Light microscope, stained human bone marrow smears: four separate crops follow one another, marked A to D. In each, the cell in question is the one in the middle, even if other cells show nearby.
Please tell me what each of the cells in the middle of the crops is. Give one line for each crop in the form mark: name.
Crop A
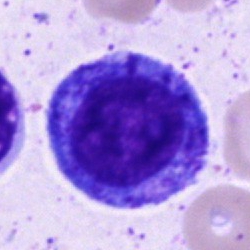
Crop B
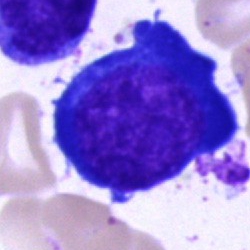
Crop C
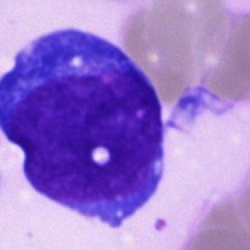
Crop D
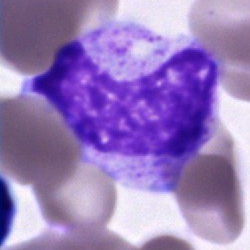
A: promyelocyte
B: proerythroblast
C: proerythroblast
D: metamyelocyte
